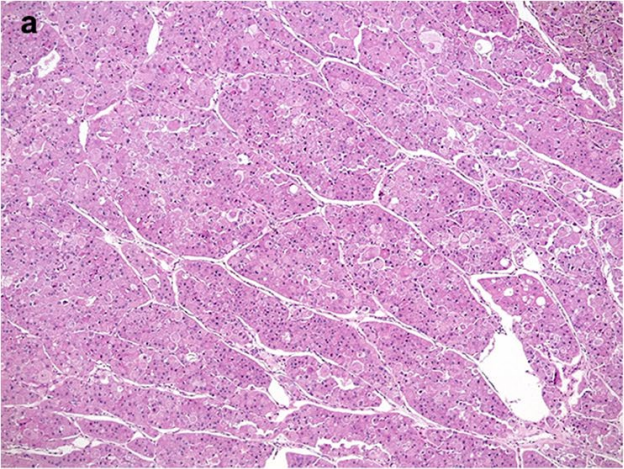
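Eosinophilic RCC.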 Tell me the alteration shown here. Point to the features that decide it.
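Solid-nested growth. Pink tumour cells form large solid nests. Nests are separated by thin delicate septa.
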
